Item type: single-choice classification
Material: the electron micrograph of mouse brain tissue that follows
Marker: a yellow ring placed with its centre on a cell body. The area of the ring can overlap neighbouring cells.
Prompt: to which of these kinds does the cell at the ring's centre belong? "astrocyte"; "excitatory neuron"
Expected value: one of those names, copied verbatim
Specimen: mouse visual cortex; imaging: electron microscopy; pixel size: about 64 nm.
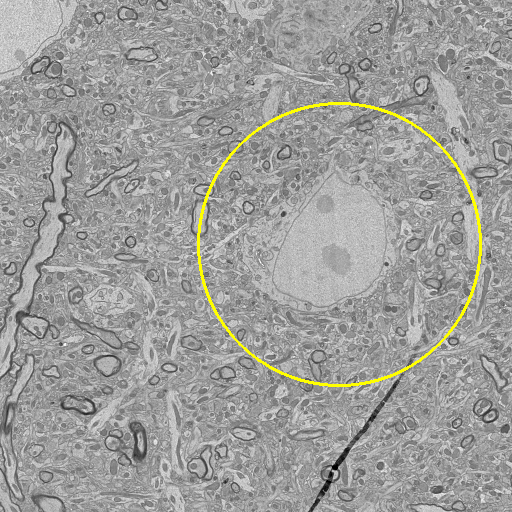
excitatory neuron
